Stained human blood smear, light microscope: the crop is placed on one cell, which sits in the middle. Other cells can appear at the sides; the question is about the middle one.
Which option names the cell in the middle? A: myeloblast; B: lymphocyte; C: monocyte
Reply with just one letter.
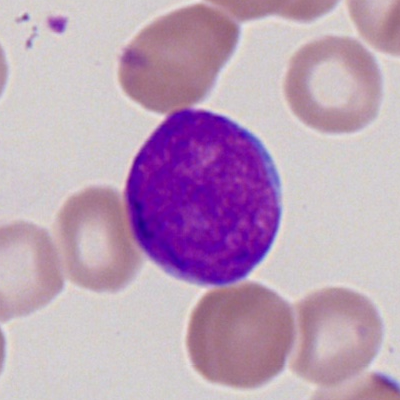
A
